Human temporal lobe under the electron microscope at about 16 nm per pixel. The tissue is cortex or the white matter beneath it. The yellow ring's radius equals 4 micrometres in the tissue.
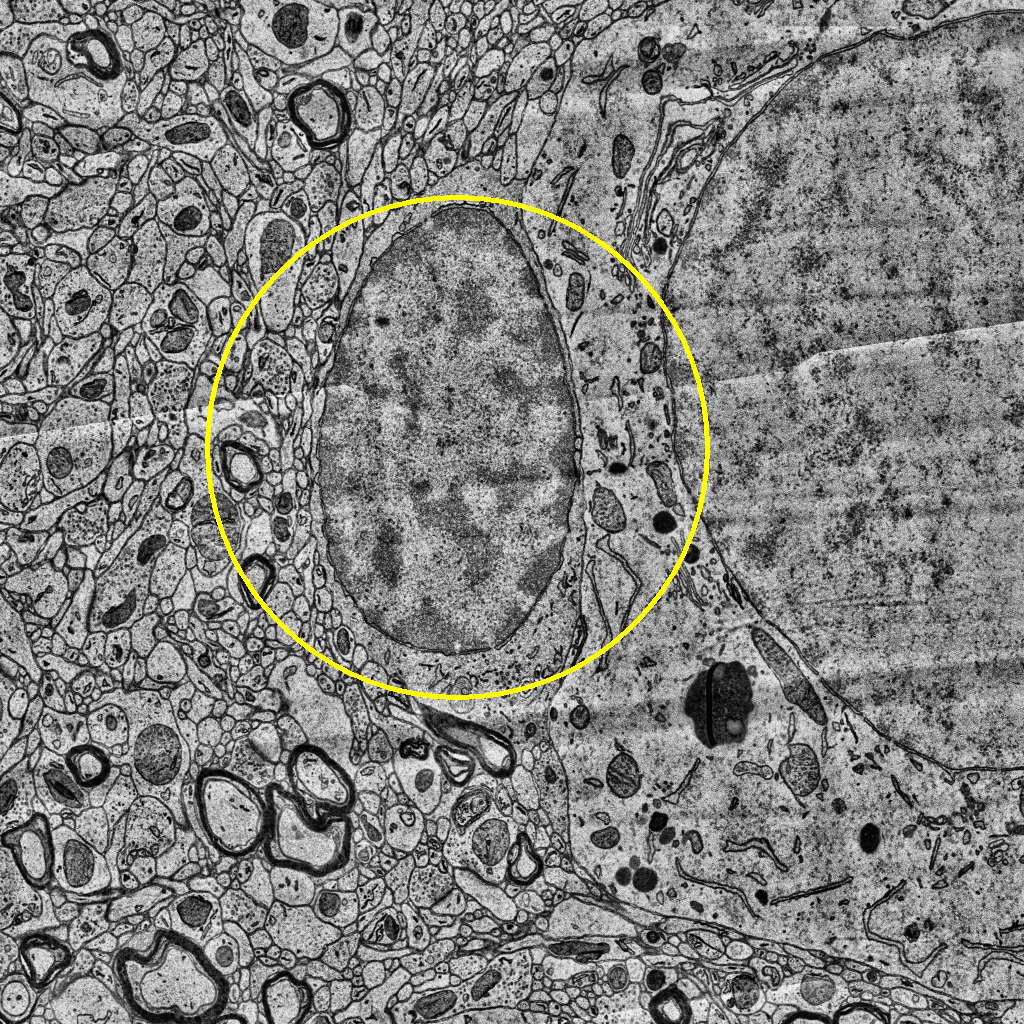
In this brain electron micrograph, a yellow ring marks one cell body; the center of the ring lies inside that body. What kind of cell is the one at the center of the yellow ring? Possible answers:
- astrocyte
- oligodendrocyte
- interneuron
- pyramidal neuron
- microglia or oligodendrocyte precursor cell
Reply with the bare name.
oligodendrocyte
